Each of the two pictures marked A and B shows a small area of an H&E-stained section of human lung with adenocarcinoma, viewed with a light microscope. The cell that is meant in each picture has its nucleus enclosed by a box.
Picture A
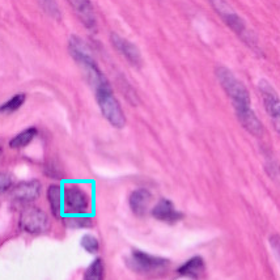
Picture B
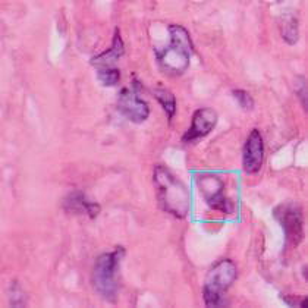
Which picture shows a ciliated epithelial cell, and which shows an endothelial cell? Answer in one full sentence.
The cell in picture A is a ciliated epithelial cell, and the one in picture B is an endothelial cell.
